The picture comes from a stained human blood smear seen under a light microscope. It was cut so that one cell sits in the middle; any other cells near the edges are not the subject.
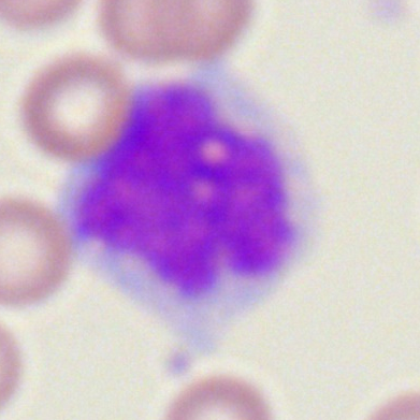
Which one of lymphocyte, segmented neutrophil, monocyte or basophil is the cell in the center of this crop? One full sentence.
Classified as a monocyte is the cell in the middle of this crop.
